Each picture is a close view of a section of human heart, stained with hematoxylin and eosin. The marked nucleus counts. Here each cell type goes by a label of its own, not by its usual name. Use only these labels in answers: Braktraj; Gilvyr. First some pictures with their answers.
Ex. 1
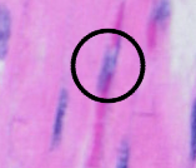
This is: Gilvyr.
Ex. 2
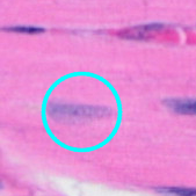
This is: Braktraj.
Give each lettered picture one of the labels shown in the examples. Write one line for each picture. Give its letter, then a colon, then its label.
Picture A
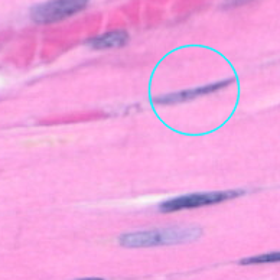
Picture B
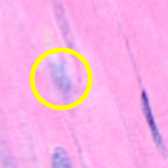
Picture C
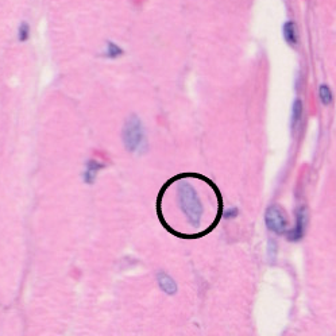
A: Gilvyr.
B: Braktraj.
C: Braktraj.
